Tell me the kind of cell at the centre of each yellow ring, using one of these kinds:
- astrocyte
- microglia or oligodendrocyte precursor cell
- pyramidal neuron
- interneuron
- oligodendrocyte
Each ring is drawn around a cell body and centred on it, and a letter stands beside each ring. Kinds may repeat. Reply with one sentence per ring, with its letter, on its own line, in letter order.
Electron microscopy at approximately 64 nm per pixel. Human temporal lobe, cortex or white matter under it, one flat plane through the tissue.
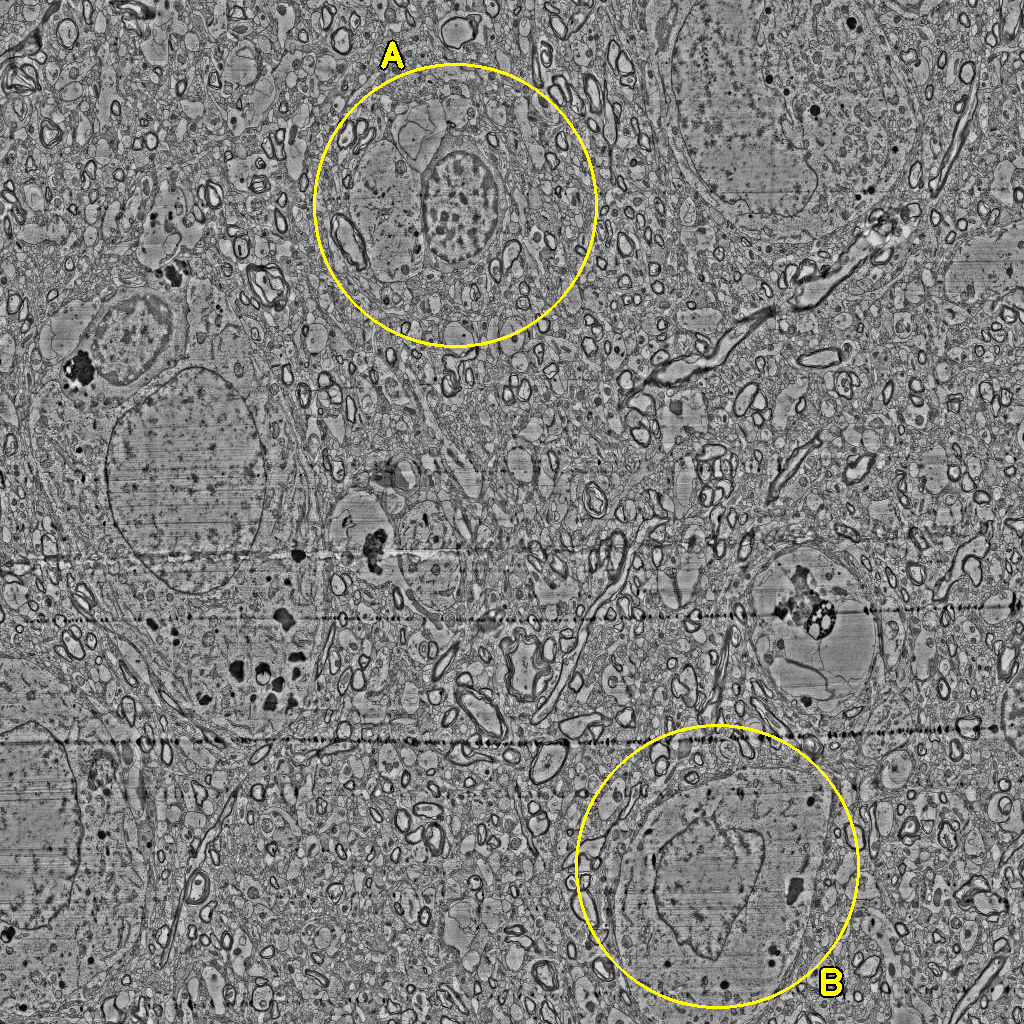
The ring labelled A is centred on an oligodendrocyte.
The ring labelled B is centred on a pyramidal neuron.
